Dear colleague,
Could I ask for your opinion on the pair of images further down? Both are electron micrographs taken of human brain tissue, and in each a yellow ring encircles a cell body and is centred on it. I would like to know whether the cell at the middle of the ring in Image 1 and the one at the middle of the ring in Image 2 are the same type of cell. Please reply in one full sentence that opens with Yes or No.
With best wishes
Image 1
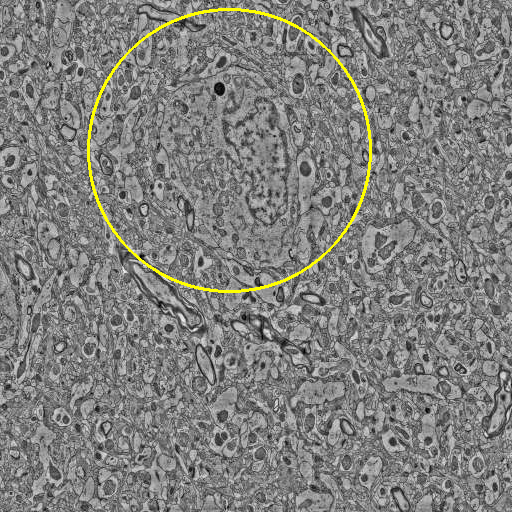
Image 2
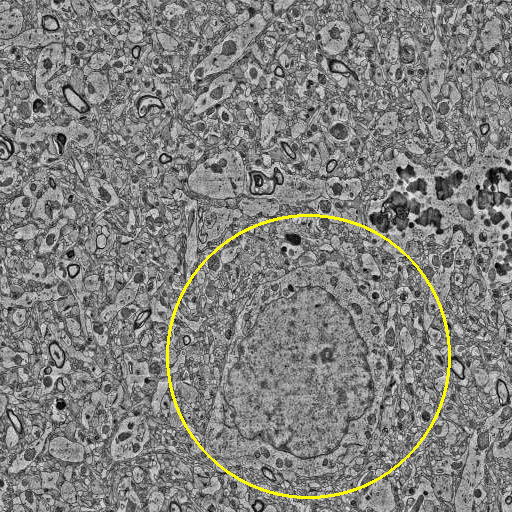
Yes, the cells at the ring centres in Image 1 and Image 2 are of one type.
